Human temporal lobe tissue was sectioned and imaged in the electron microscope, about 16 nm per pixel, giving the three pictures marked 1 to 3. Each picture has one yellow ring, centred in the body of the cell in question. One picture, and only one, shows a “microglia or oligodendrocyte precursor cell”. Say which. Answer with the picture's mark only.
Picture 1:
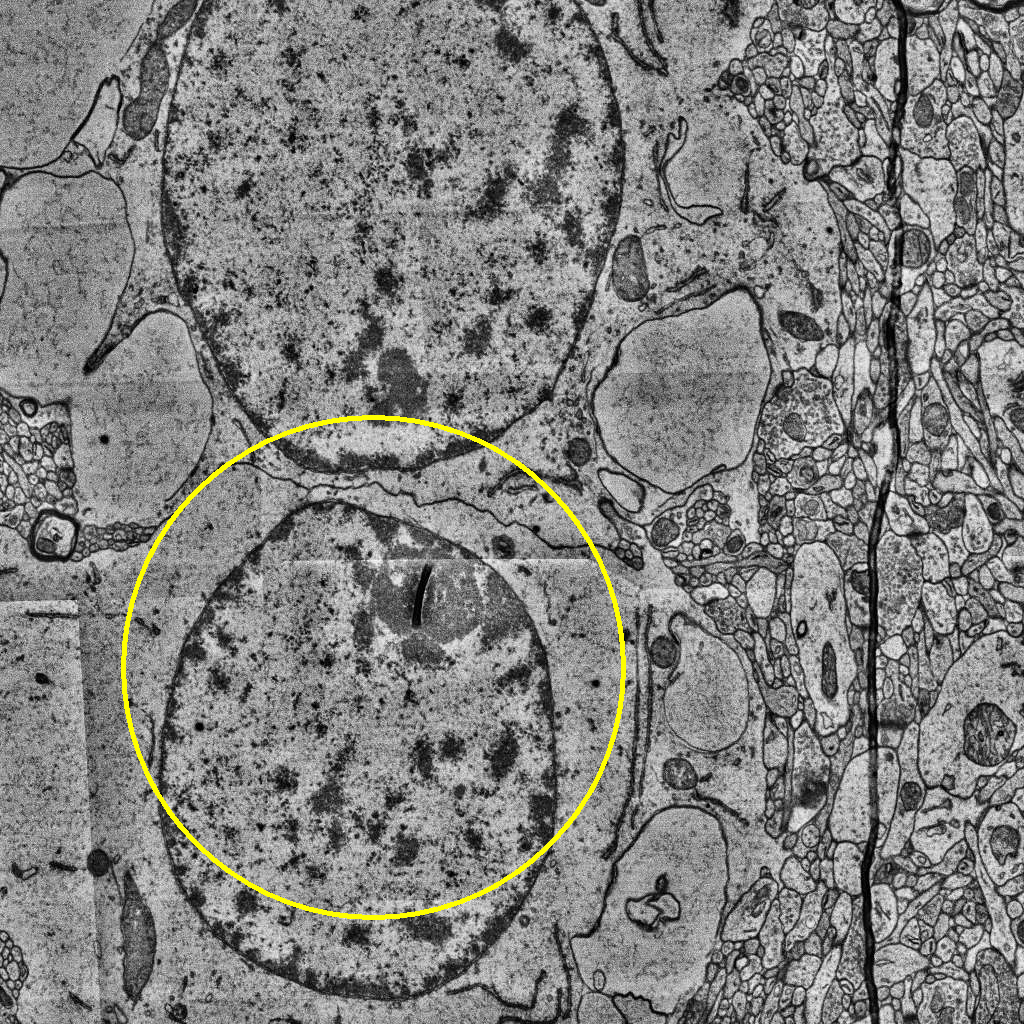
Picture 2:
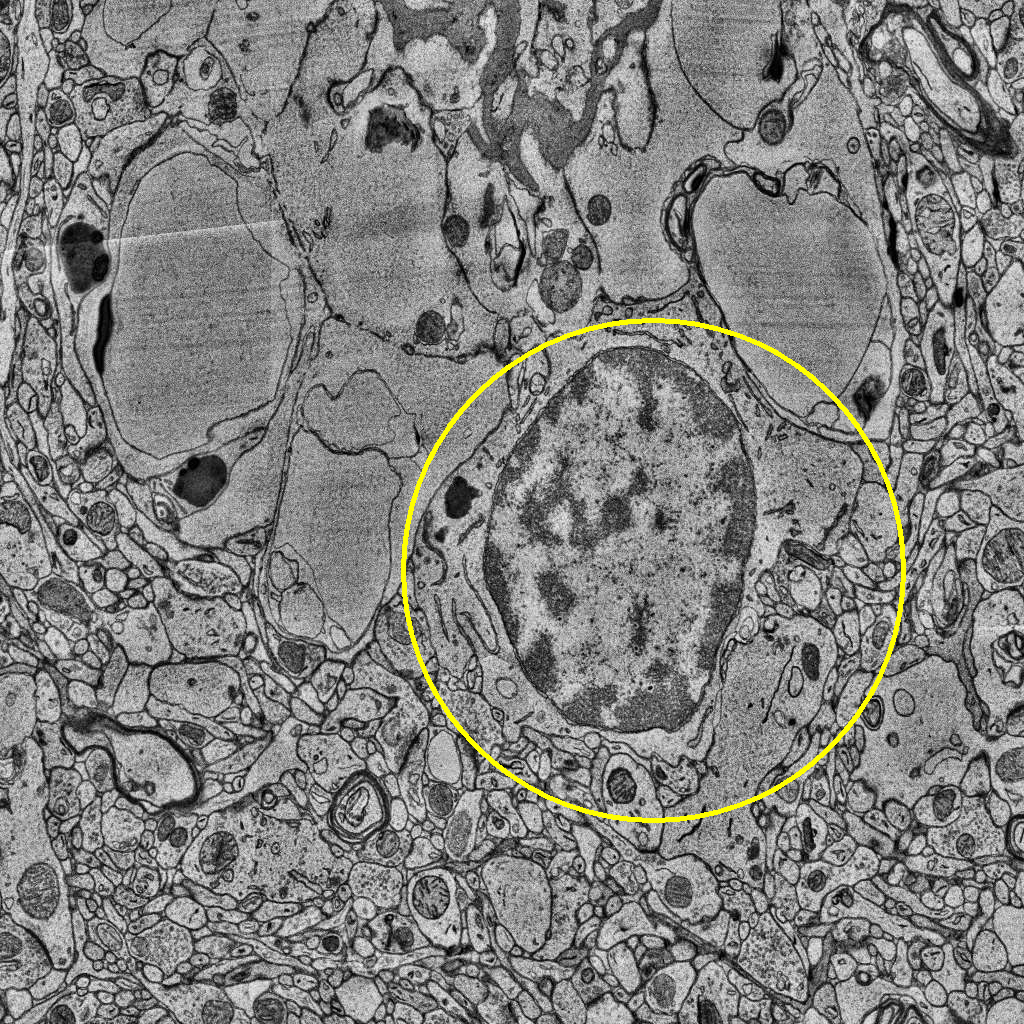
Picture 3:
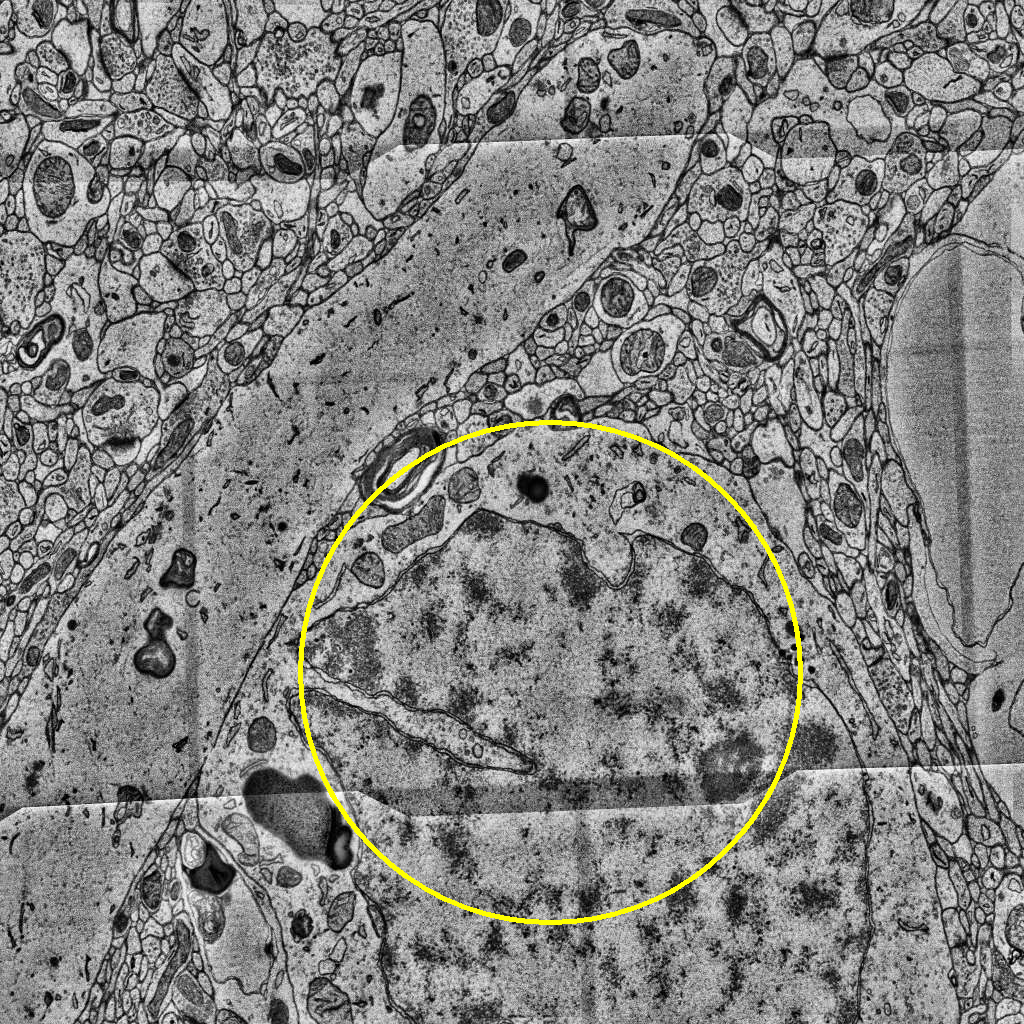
2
